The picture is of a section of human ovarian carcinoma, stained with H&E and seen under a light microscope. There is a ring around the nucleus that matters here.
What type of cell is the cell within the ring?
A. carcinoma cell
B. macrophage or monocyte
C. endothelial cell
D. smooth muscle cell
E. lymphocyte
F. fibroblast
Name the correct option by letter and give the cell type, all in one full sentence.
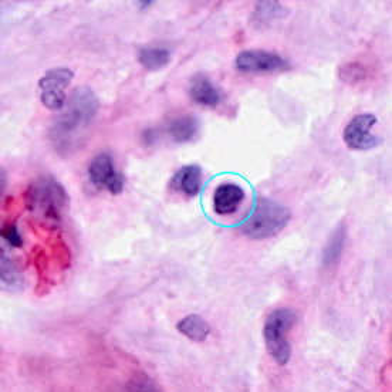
The correct identification, the cell within the ring as a lymphocyte, is given by option E.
